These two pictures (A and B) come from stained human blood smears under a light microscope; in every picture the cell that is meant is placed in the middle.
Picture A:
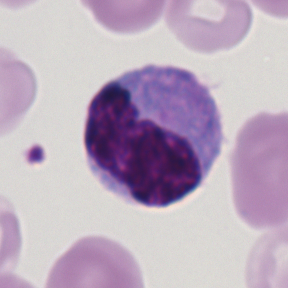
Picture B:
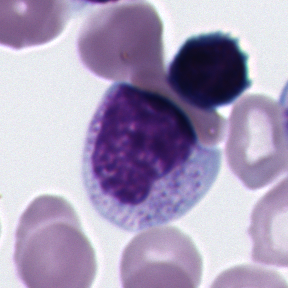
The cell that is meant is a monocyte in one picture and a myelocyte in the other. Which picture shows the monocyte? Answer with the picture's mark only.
A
